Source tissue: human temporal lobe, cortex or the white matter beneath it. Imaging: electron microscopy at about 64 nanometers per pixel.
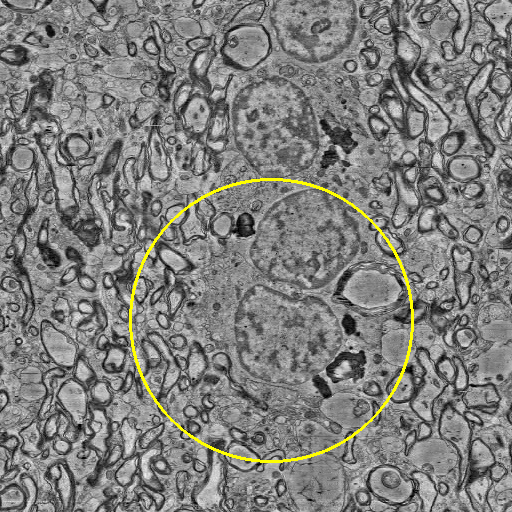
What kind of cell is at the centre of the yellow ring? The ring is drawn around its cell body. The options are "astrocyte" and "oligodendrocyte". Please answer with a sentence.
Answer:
The yellow ring marks the cell body of an oligodendrocyte.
